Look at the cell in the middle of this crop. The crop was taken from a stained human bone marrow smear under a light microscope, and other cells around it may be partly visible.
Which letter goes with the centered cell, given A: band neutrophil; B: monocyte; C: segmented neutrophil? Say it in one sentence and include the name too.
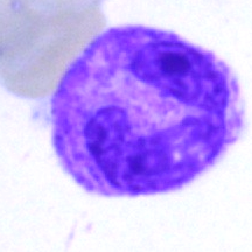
The cell in the middle is a segmented neutrophil, so option C is correct.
